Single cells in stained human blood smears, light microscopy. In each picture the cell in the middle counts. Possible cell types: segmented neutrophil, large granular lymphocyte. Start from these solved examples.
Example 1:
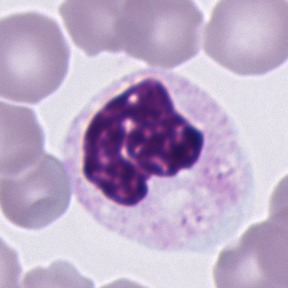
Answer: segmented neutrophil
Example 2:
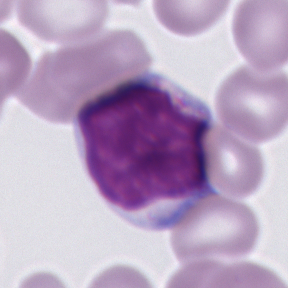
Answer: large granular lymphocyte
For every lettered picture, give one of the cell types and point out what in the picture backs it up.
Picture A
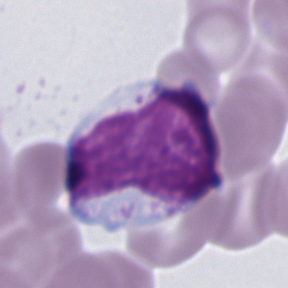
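Answer: large granular lymphocyte. The nucleus fills most of the cell.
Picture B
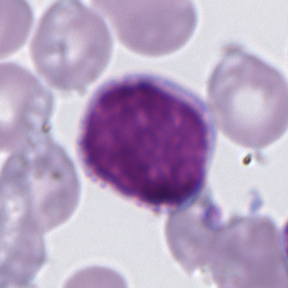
Answer: large granular lymphocyte. The cytoplasm is only a very thin rim around the nucleus.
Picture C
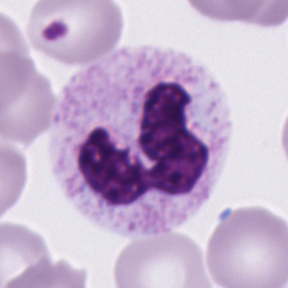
Answer: segmented neutrophil. The cytoplasm is abundant and pale lilac-pink.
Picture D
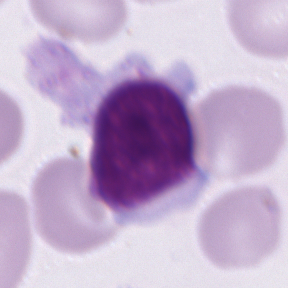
Answer: large granular lymphocyte. The cytoplasm forms only a scant rim around the nucleus.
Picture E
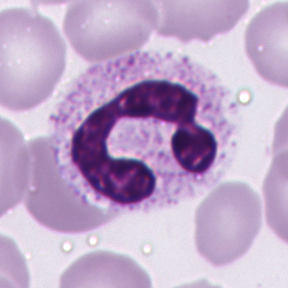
Answer: segmented neutrophil. The cytoplasm is plentiful and pale pink-lilac.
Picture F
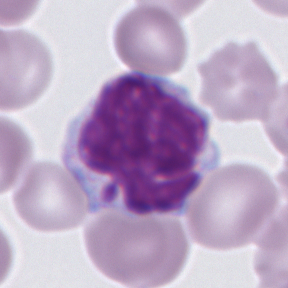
Answer: large granular lymphocyte. The cytoplasm forms only a thin pale blue-grey rim around the nucleus.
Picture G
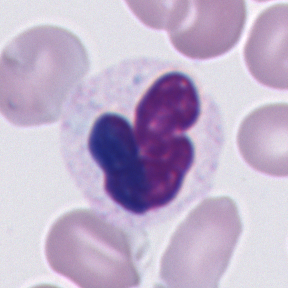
Answer: segmented neutrophil. A broad rim of very pale cytoplasm surrounds the nucleus.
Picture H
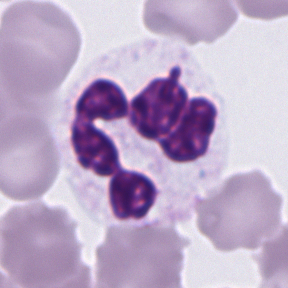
Answer: segmented neutrophil. The cytoplasm is plentiful and pale pinkish-lilac.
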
